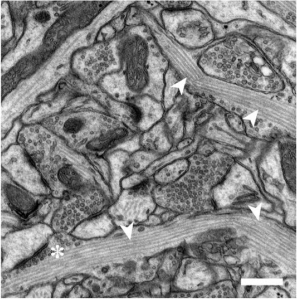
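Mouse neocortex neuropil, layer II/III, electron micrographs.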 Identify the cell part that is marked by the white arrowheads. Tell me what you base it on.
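Long profiles packed with many fine parallel lines run across the field. The arrowheads sit along these striated bundles. So: aligned microtubules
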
